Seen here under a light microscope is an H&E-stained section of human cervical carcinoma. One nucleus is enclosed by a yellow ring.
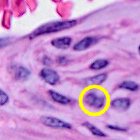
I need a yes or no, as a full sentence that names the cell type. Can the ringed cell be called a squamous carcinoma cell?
No, it is as a smooth muscle cell, not a squamous carcinoma cell, that the ringed cell is classified.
